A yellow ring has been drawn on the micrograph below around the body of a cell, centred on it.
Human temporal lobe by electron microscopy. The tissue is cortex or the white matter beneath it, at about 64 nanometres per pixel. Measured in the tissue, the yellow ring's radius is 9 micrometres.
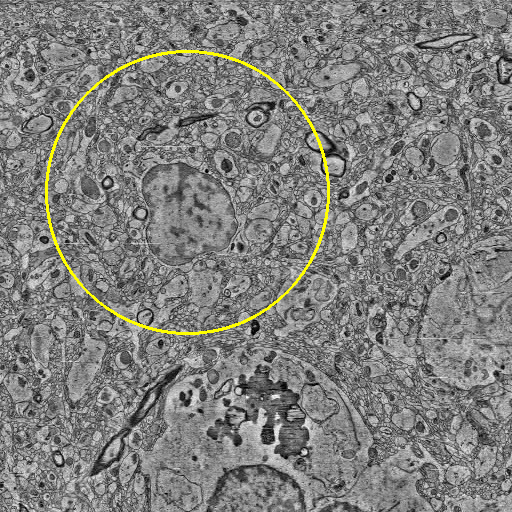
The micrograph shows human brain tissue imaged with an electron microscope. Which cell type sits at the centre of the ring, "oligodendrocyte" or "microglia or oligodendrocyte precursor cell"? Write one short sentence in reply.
The cell sitting at the centre of the ring is a microglial cell or oligodendrocyte precursor cell.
